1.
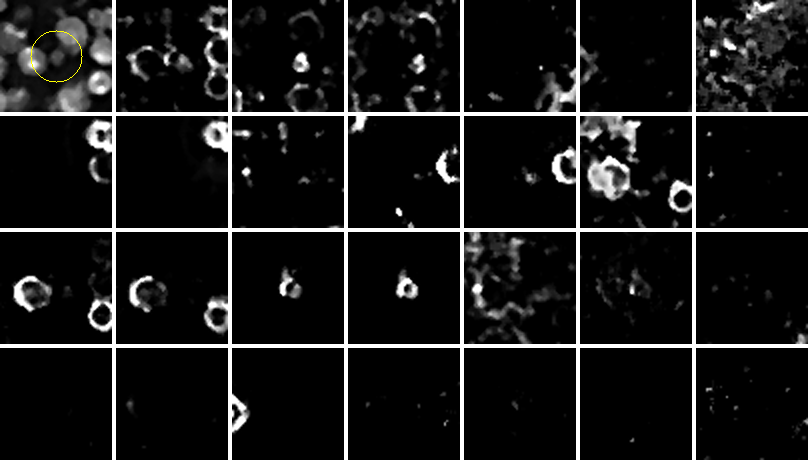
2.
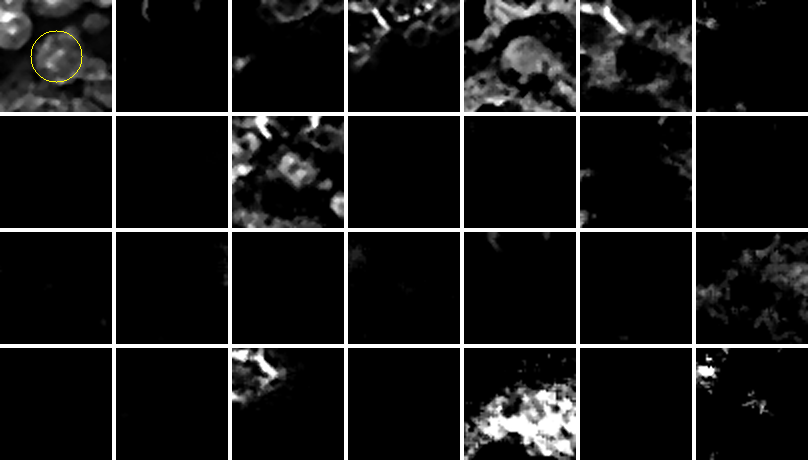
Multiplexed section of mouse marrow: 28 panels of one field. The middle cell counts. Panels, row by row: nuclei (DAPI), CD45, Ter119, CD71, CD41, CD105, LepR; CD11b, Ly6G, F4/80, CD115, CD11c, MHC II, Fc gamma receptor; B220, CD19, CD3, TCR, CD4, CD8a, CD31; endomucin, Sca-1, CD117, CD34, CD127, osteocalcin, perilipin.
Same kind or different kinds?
Different: the first is a double-negative T cell, the second a common lymphoid progenitor.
